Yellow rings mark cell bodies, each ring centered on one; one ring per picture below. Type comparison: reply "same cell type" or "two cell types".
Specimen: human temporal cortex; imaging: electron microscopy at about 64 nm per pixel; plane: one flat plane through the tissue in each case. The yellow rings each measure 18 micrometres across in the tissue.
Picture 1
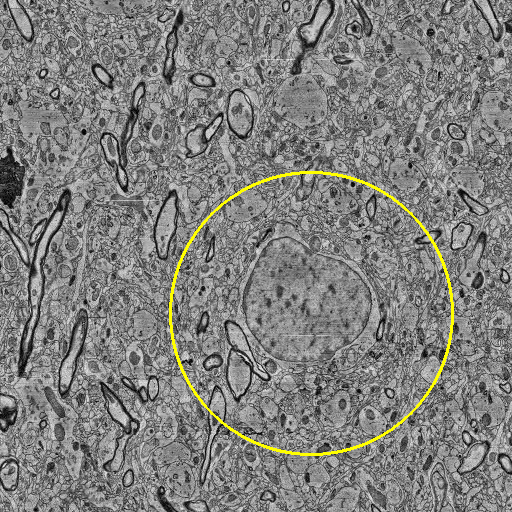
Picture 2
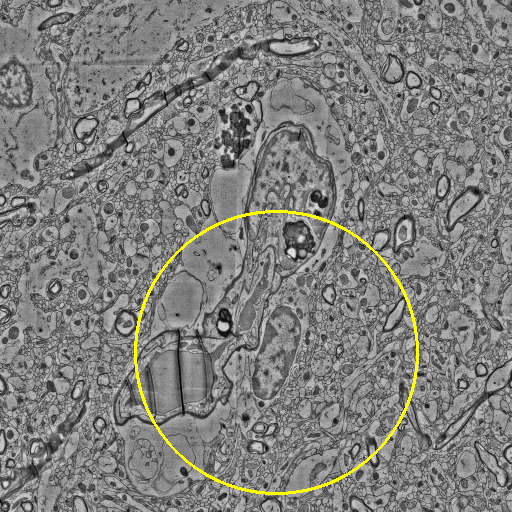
same cell type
